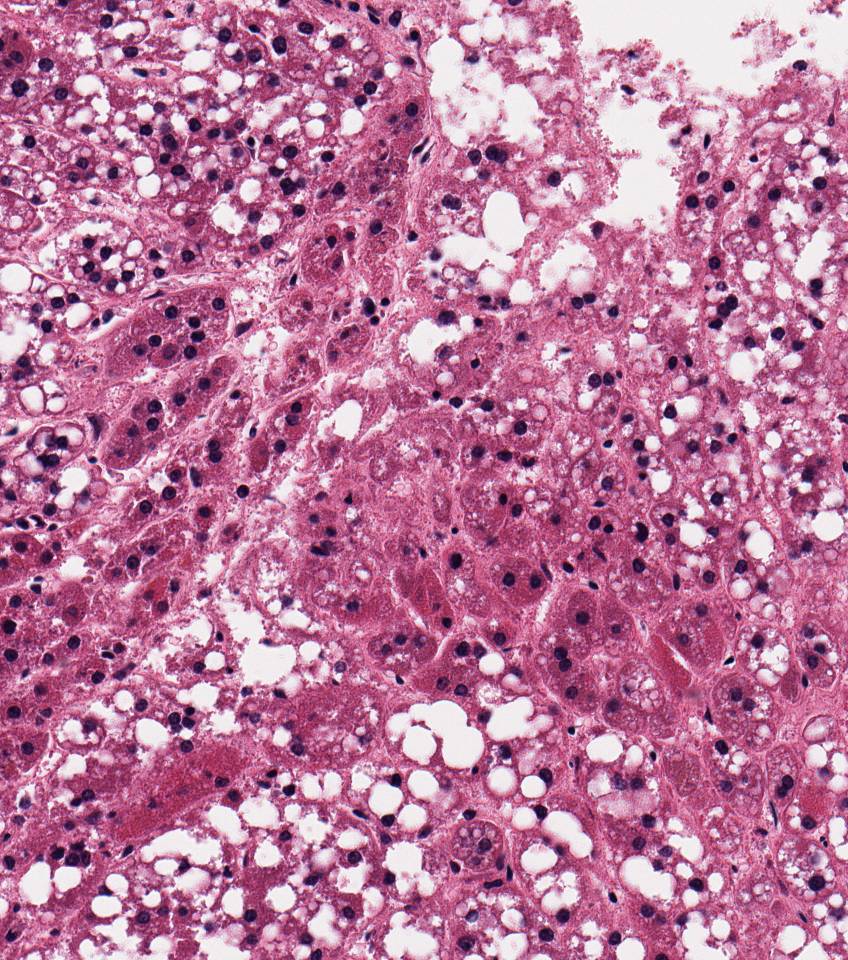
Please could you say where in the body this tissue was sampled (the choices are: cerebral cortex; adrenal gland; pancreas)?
adrenal gland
